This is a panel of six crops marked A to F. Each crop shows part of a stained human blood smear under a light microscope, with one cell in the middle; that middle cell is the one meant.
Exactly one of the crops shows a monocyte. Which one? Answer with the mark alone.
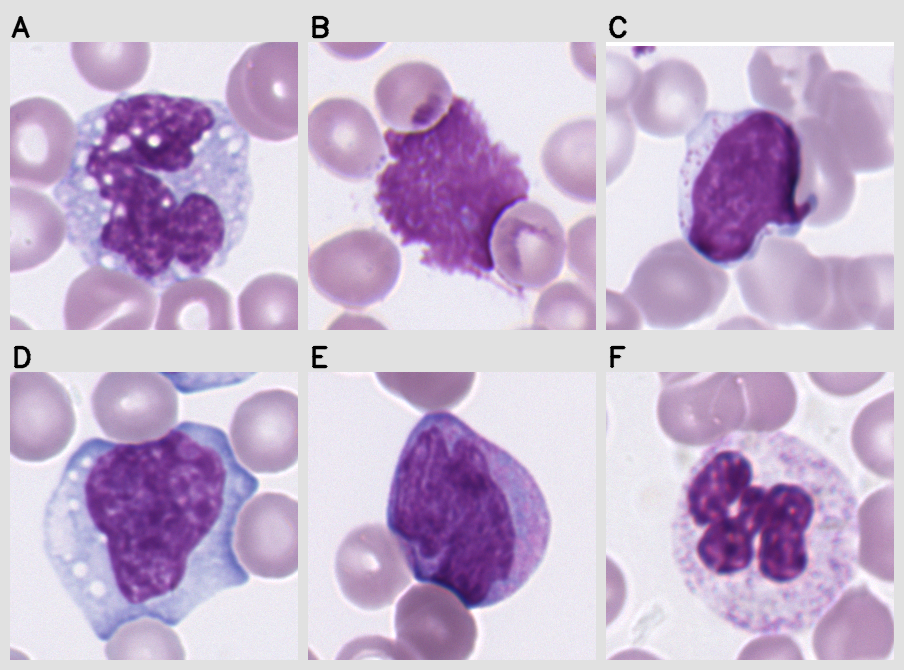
A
